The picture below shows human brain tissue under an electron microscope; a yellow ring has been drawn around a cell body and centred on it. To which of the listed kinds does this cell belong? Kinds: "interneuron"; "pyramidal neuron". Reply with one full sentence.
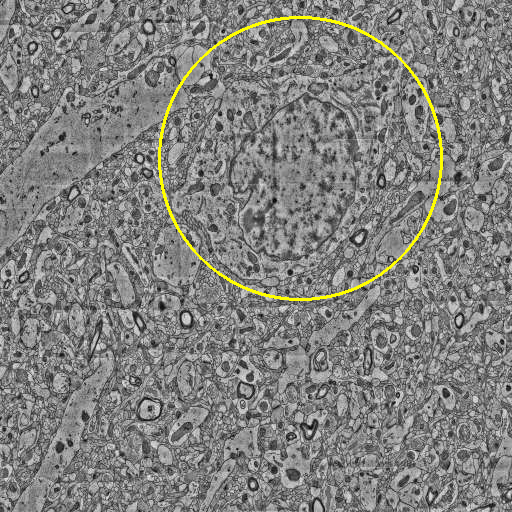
It is an interneuron that the yellow ring in the picture is centred on.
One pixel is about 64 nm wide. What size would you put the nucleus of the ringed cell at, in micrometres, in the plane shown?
In this plane the nucleus measures roughly 11 by 8 micrometres.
